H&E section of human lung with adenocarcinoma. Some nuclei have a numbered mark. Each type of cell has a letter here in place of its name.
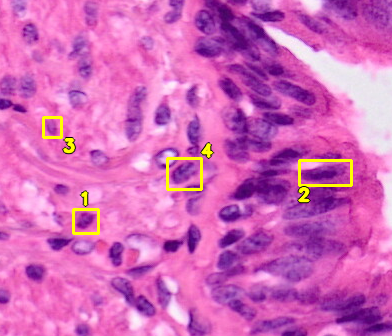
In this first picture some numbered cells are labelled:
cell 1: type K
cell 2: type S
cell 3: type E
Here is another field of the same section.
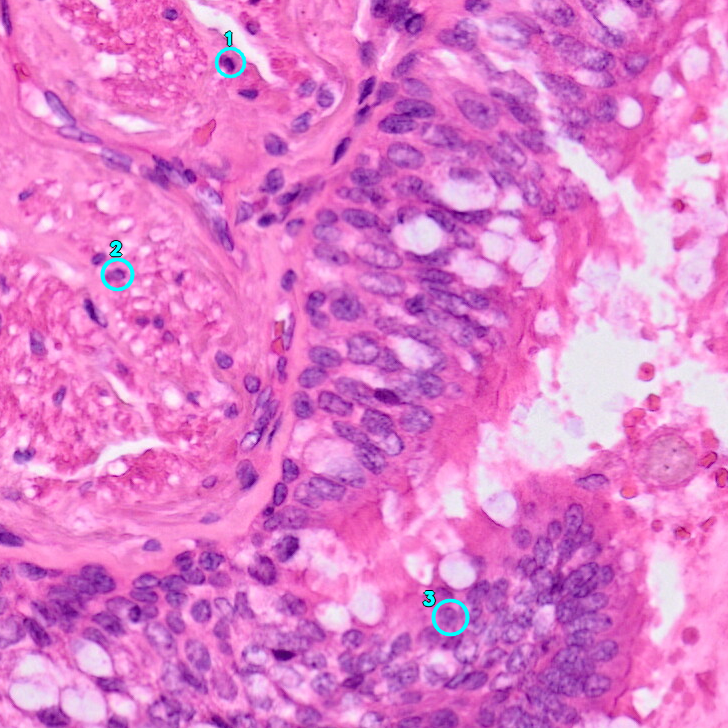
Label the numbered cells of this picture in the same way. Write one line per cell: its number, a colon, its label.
1: type E
2: type E
3: type S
